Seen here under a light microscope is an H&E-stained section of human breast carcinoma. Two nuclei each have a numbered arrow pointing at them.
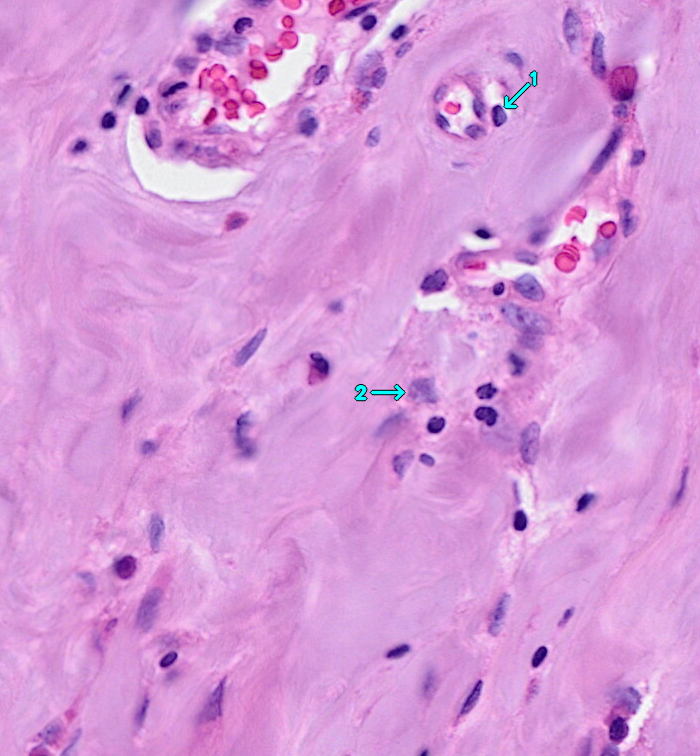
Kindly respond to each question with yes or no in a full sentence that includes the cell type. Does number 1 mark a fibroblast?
No, cell 1 is not a fibroblast; it is a lymphocyte.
